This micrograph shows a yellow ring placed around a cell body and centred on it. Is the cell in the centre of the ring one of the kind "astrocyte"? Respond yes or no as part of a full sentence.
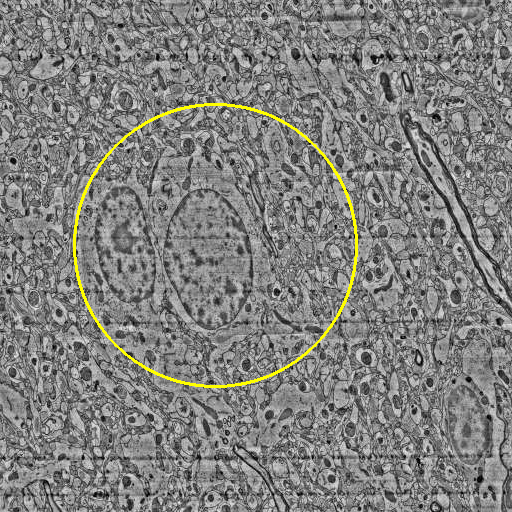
Yes, the cell in the centre of the ring within the picture is one of that kind.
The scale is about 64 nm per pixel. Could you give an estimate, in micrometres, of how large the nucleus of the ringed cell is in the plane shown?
About 10 by 6 micrometres; in this plane the nucleus is clearly longer than it is wide.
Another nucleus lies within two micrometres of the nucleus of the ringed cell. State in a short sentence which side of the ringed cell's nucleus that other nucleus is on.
The other nucleus lies to the left of it.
